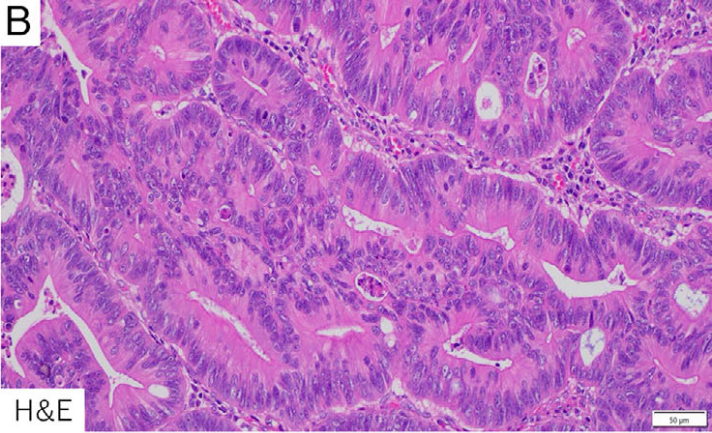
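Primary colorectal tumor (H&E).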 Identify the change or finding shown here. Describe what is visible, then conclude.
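Tubular adenocarcinoma. Elongated and branching glands lined by tall columnar cells. Nuclei are elongated, crowded and stratified. Some glands run into one another with little stroma between. Luminal debris is present in some glands.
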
